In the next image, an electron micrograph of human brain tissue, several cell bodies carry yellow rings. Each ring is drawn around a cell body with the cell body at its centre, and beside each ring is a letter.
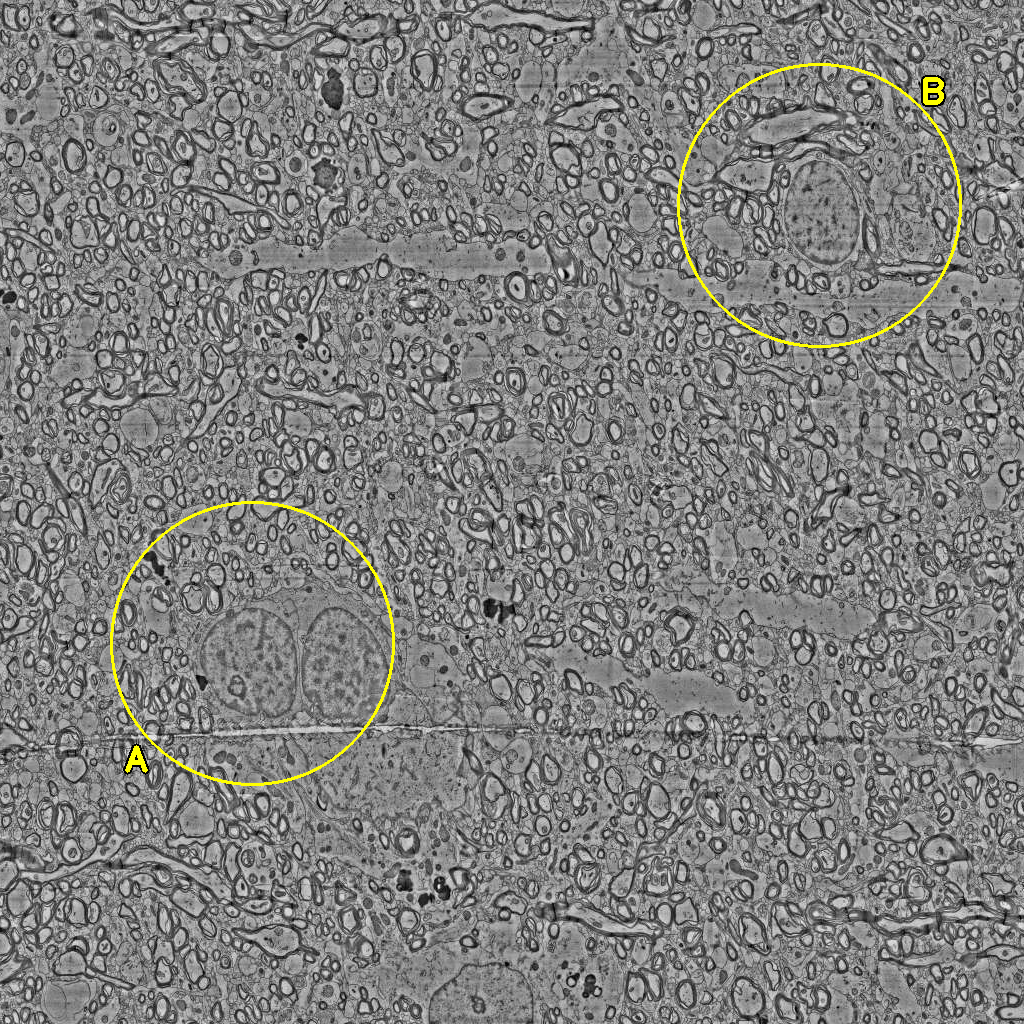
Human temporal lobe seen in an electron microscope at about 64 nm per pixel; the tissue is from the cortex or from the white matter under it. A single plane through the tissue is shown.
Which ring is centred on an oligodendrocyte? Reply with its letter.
A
